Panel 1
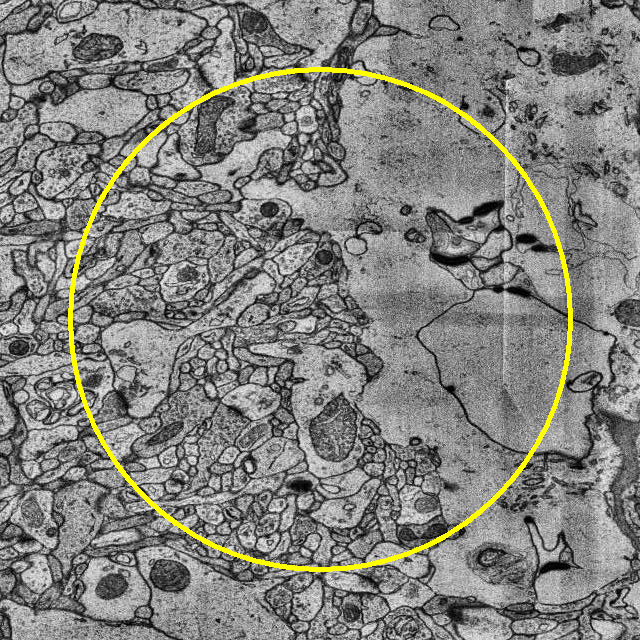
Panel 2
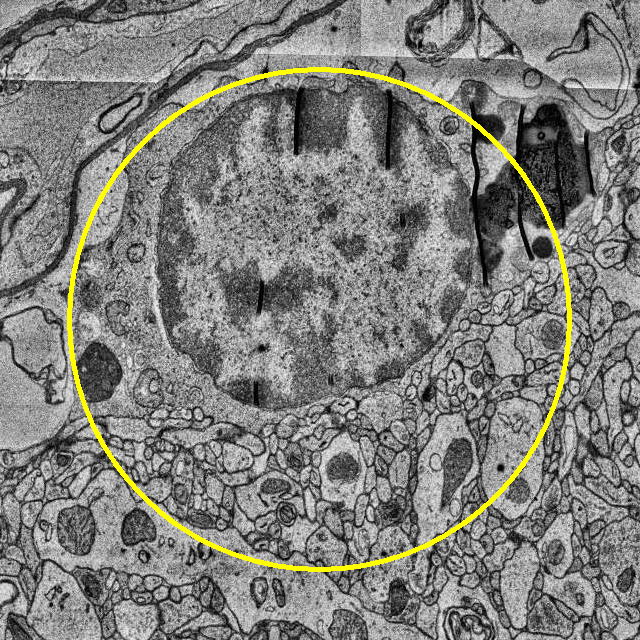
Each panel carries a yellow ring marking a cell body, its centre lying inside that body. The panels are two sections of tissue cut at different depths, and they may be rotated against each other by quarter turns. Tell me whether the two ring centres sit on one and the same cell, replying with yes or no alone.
yes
